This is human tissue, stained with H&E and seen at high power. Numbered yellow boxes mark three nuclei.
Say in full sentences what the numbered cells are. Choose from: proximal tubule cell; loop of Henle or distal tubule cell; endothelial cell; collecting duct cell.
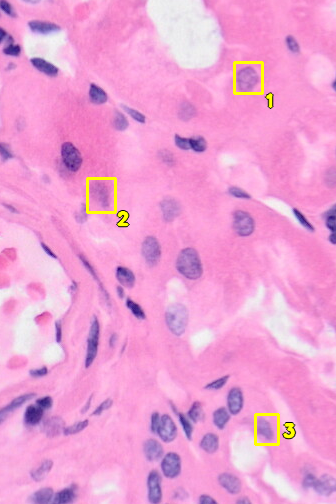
Cell 1 is a proximal tubule cell, cell 2 is a proximal tubule cell and cell 3 is a collecting duct cell.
